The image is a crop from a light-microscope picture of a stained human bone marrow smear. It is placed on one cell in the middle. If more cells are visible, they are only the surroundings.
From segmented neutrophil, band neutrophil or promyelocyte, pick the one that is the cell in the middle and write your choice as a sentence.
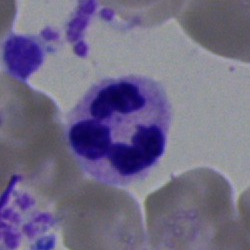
In the central position of this crop, the cell is a segmented neutrophil.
